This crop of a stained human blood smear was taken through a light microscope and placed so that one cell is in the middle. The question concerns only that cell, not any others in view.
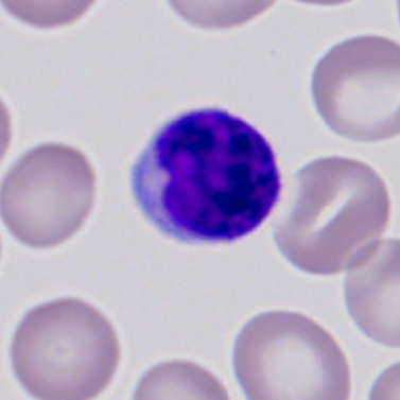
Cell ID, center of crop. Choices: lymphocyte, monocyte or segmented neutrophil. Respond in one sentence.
Standing at the centre of this crop is a lymphocyte.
